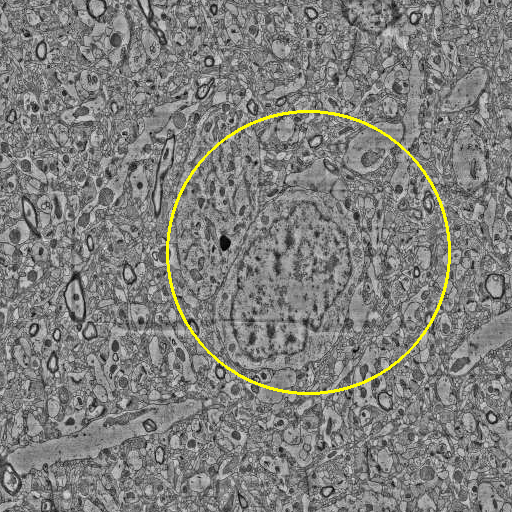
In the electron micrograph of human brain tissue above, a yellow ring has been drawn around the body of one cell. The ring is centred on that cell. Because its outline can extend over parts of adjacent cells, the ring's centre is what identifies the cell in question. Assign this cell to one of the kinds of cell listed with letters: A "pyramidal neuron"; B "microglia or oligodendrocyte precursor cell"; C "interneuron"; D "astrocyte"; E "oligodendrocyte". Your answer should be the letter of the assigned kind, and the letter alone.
C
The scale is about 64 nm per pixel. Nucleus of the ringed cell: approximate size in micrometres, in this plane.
About 11 by 7 micrometres in this plane; clearly longer than it is wide.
